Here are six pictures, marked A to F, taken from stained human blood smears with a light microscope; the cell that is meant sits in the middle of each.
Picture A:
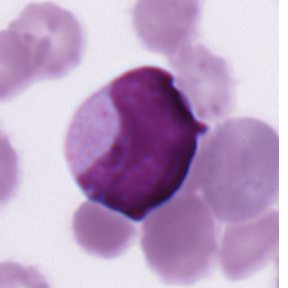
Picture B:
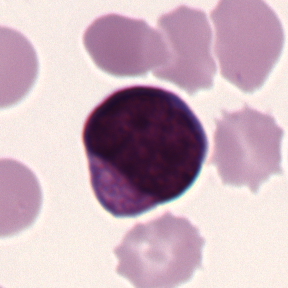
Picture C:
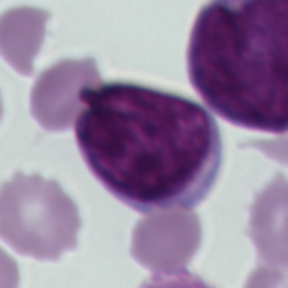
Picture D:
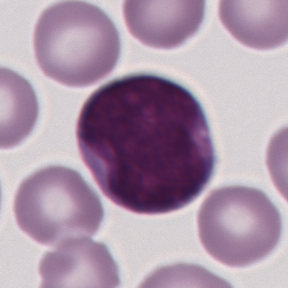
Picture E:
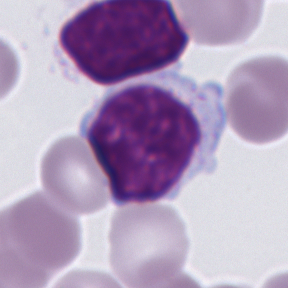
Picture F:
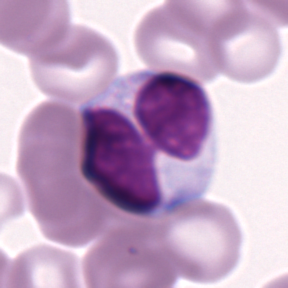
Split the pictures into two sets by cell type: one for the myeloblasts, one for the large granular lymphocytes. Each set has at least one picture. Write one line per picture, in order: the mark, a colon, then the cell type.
A: myeloblast
B: myeloblast
C: myeloblast
D: myeloblast
E: large granular lymphocyte
F: large granular lymphocyte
